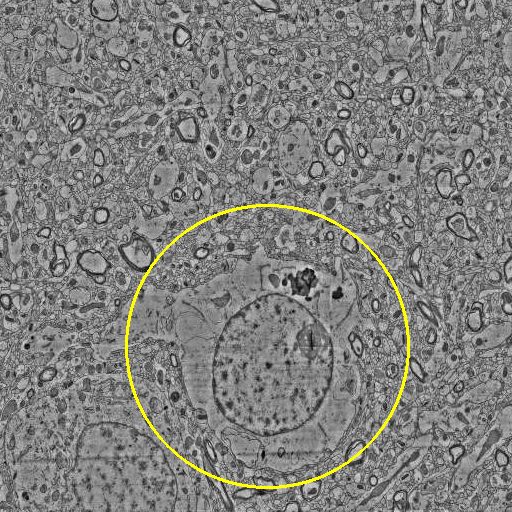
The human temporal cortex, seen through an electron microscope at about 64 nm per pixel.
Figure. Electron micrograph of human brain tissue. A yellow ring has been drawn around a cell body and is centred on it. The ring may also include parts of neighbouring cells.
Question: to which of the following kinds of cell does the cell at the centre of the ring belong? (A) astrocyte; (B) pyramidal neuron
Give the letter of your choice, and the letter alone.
A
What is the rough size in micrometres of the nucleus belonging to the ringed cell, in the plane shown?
In this plane the nucleus spans approximately 9 by 8 micrometers.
